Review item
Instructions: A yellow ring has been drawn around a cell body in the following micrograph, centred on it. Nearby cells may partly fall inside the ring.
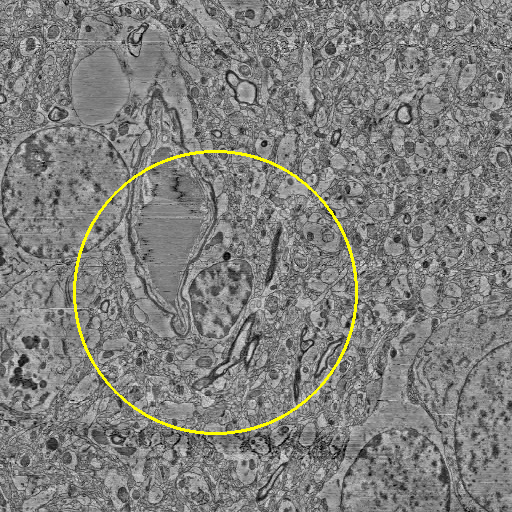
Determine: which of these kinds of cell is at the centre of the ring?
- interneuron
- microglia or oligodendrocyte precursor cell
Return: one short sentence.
The cell body in the middle of the ring is that of a microglial cell or oligodendrocyte precursor cell.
